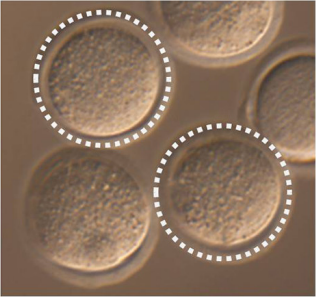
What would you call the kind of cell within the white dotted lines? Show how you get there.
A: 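Oocytes. Each dotted circle surrounds a large round cell with granular cytoplasm. Each round cell is enclosed by a clear band with a thin space inside it.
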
